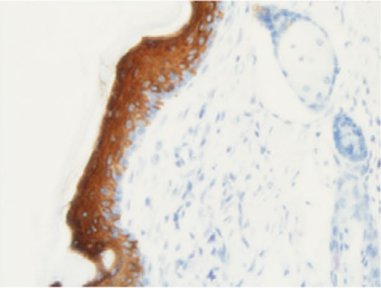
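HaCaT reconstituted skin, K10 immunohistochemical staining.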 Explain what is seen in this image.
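This is a stratified epidermis over connective tissue, with brown staining filling a thick band of the upper epithelial layers. The stained keratinocytes are polygonal with pale centres and brown cytoplasm, stacked in many layers, and the outermost part is darkest and most compact. The deepest epithelial cells next to the connective tissue are less stained.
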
